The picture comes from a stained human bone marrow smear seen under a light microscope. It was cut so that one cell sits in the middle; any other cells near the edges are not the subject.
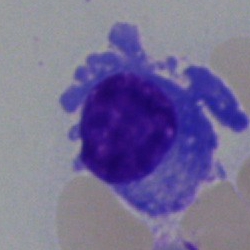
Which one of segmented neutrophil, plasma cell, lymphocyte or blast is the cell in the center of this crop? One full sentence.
Centred in the crop is a plasma cell.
